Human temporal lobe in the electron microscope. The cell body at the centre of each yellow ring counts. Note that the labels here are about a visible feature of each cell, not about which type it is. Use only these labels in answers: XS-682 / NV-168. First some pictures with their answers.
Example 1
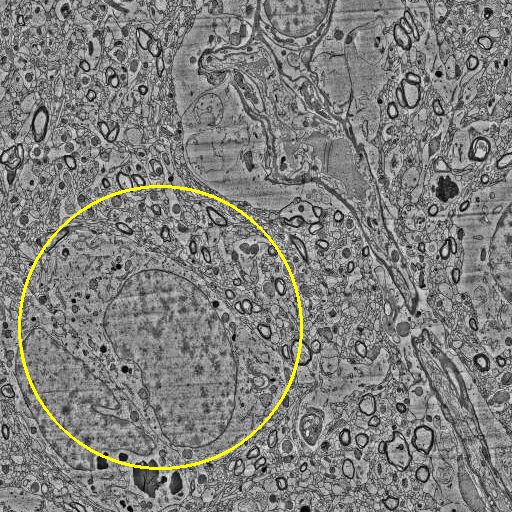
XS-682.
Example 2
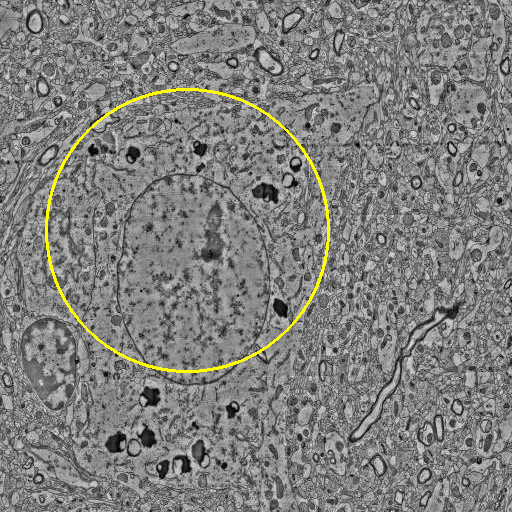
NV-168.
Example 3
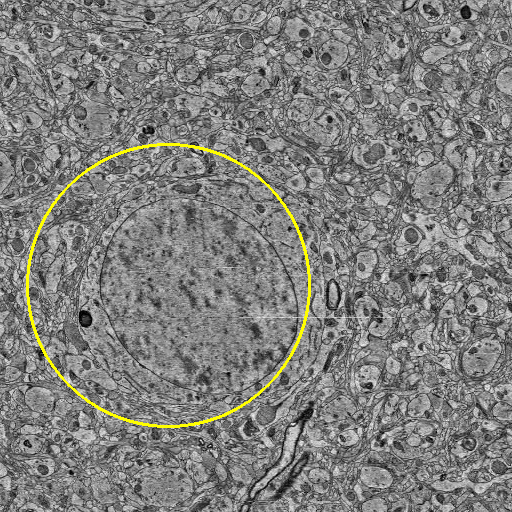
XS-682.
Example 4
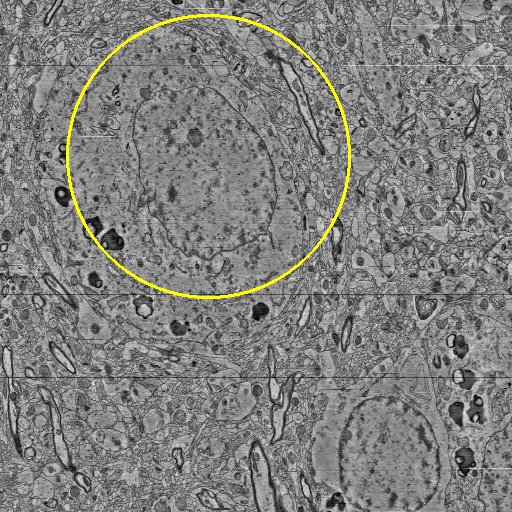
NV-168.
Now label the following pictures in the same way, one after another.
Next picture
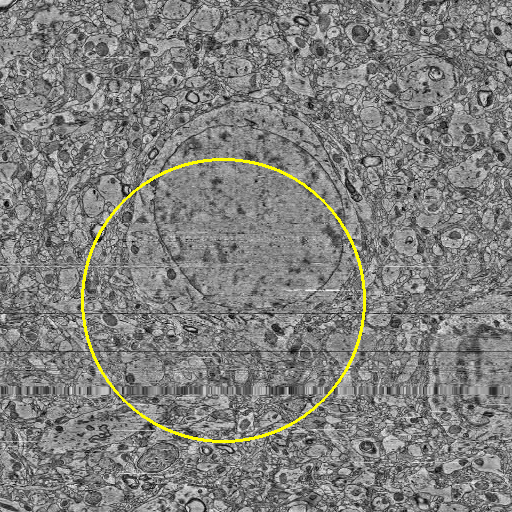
XS-682.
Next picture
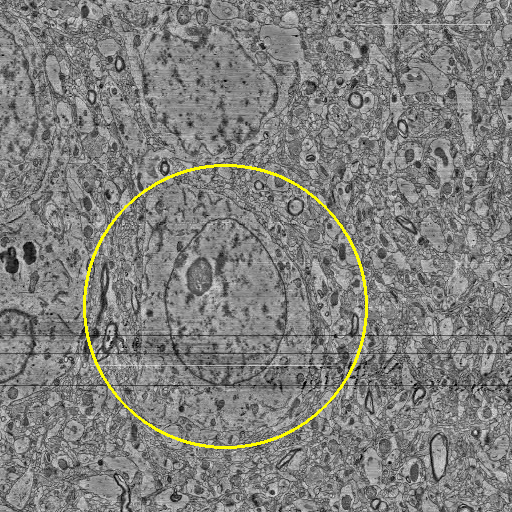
NV-168.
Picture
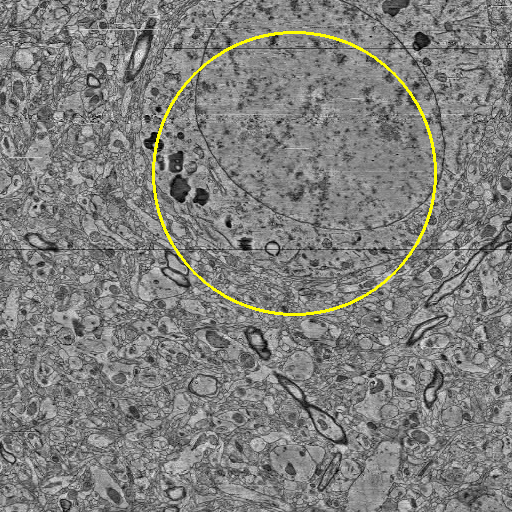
XS-682.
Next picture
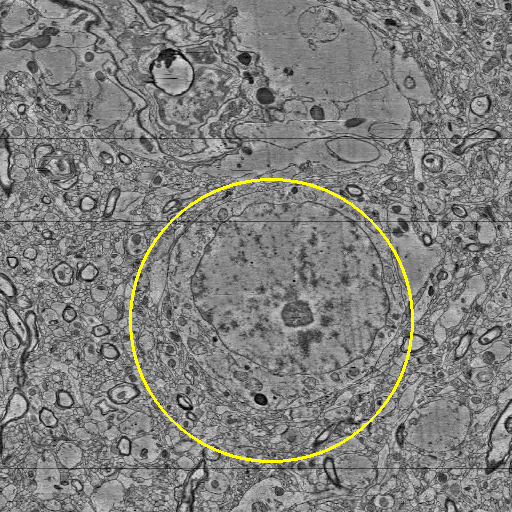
NV-168.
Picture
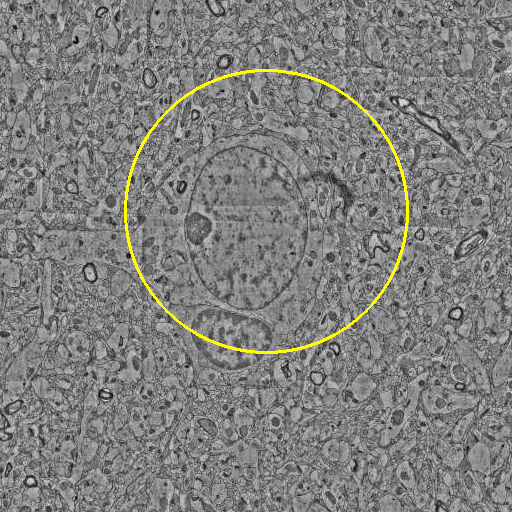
NV-168.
